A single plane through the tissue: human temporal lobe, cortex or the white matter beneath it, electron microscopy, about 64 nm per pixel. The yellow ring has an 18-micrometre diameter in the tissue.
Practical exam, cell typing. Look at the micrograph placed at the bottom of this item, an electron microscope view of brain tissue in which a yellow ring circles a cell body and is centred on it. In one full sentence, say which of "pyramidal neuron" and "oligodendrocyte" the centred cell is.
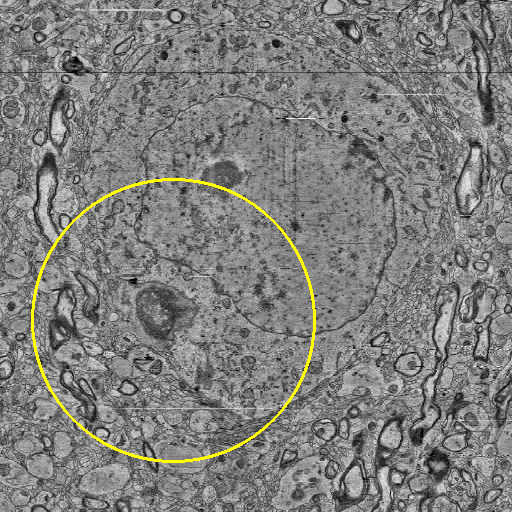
Given the options, an oligodendrocyte fits the cell whose body the yellow ring is centred on.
